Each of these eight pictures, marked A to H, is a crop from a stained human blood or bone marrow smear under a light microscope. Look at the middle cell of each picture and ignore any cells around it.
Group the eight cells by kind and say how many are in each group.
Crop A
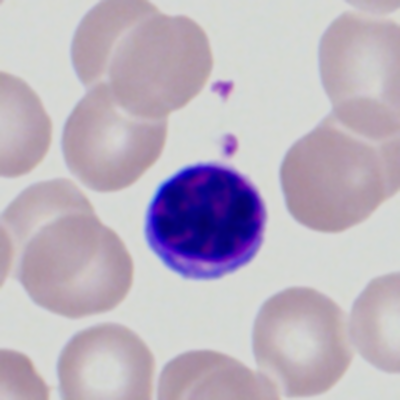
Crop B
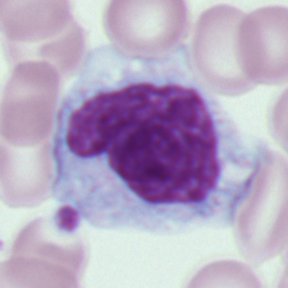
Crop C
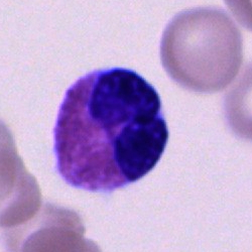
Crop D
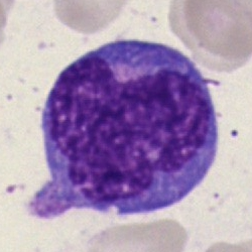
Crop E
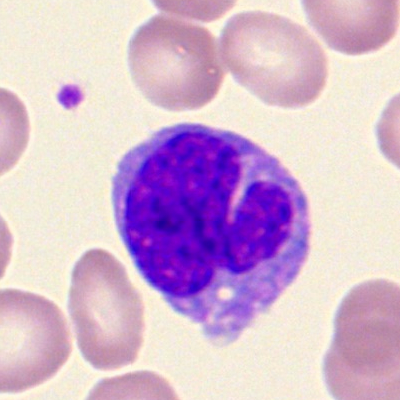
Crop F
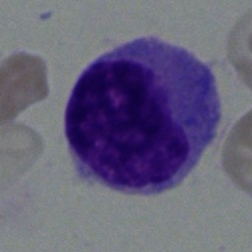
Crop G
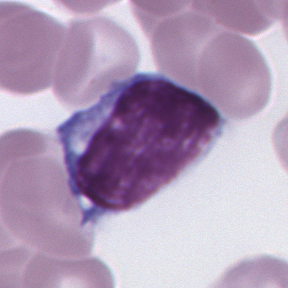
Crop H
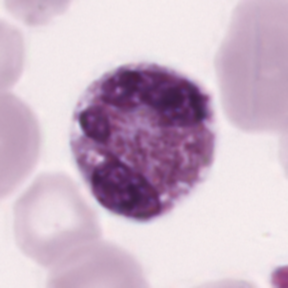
monocyte: 4
lymphocyte: 2
eosinophil: 2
